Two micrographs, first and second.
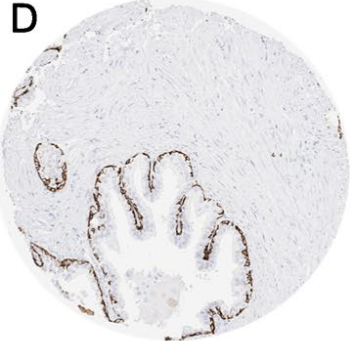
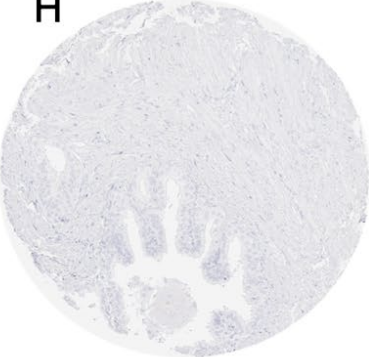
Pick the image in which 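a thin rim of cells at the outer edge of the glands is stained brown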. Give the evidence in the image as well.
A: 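Second image: the gland outlines are visible but no brown rim is present. The answer: the first image.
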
